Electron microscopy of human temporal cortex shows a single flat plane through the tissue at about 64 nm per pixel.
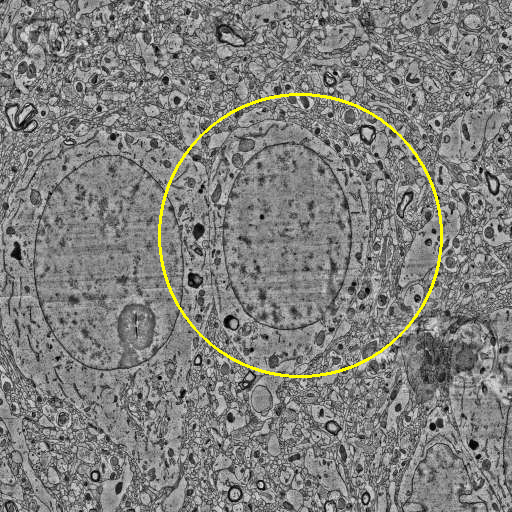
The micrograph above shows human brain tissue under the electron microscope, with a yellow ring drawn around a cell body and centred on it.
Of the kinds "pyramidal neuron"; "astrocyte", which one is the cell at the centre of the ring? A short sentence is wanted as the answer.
The one at the centre of the ring is a pyramidal neuron.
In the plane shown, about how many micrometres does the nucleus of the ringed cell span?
Approximately 12 x 8 micrometres in this plane.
